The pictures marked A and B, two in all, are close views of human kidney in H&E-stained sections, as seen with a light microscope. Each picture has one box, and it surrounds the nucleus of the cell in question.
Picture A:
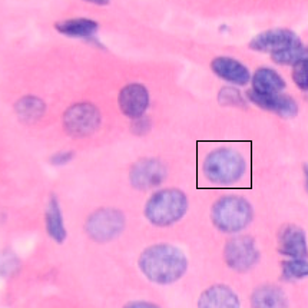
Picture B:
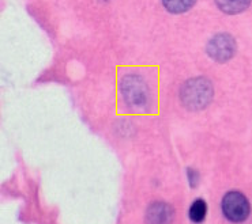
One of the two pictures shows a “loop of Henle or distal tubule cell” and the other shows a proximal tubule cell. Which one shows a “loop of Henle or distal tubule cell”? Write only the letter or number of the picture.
A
